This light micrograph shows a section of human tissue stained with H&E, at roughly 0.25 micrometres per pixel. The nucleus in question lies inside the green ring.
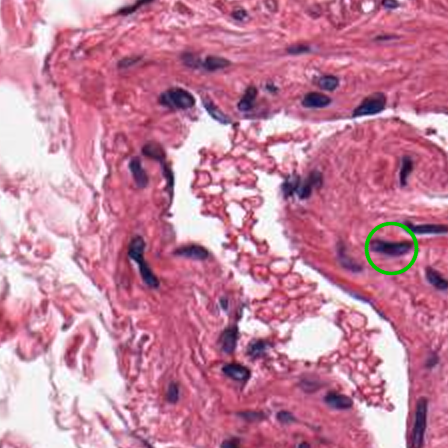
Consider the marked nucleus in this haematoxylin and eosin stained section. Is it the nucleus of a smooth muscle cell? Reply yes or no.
yes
